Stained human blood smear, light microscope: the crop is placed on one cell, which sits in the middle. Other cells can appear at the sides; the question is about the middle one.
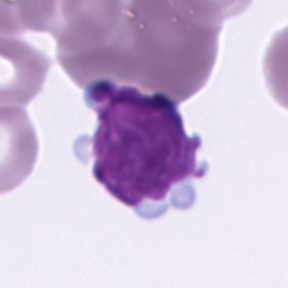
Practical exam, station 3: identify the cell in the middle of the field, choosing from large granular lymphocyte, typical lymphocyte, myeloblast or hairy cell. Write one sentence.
Centrally within this crop lies a typical lymphocyte.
